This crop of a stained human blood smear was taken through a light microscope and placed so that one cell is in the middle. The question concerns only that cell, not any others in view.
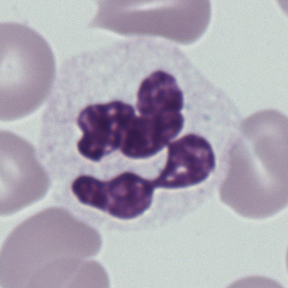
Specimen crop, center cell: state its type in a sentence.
For this crop, the central cell is a segmented neutrophil.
